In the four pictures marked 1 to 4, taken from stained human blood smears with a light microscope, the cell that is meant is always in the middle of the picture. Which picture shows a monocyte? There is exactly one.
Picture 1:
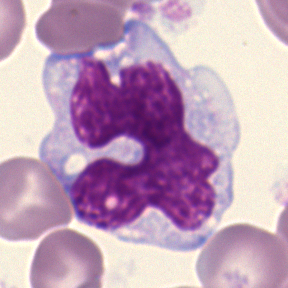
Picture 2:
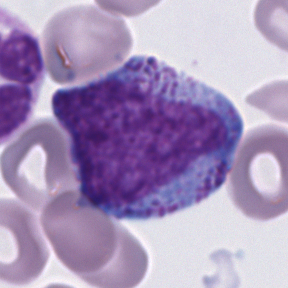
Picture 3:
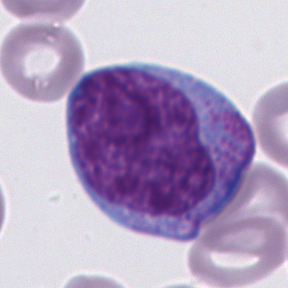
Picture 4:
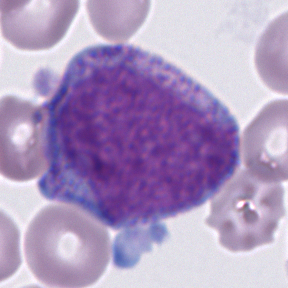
1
